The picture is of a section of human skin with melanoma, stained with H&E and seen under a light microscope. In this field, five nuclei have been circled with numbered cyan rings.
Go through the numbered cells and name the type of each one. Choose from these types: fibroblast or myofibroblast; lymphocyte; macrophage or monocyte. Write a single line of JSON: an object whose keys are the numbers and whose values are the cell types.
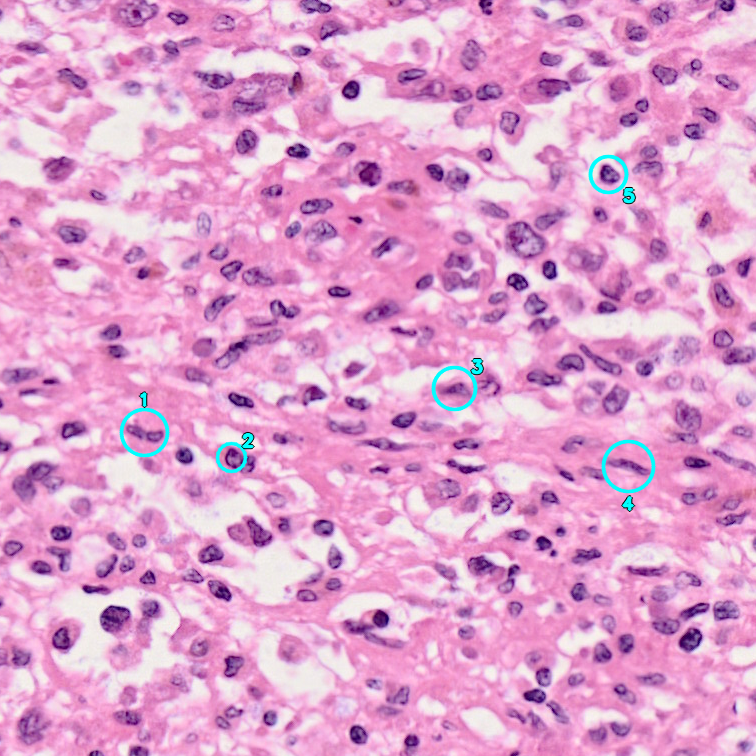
{"1": "macrophage or monocyte", "2": "macrophage or monocyte", "3": "macrophage or monocyte", "4": "fibroblast or myofibroblast", "5": "lymphocyte"}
